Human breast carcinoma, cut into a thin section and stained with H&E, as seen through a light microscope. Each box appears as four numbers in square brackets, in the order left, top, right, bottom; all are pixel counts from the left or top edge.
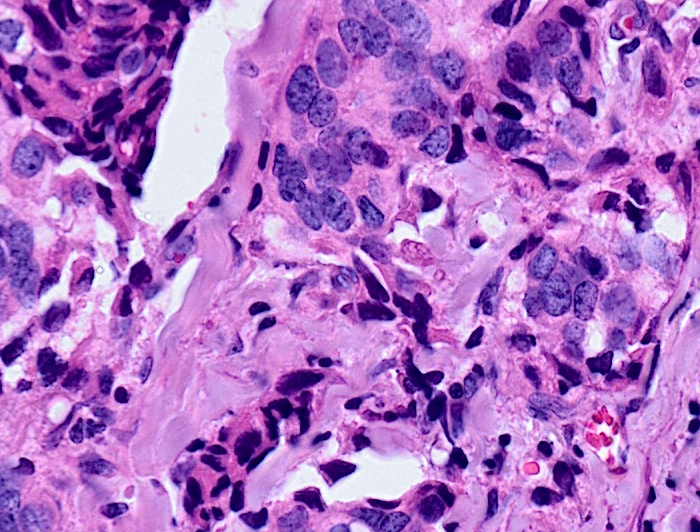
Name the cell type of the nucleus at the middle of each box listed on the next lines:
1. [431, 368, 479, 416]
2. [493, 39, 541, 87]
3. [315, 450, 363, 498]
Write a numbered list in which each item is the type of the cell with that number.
1. lymphocyte
2. carcinoma cell
3. carcinoma cell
